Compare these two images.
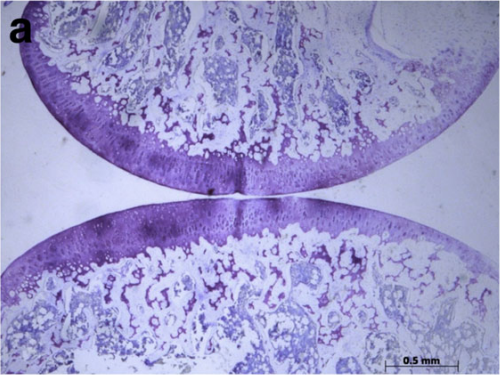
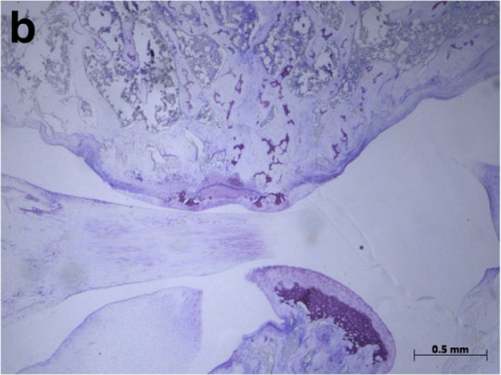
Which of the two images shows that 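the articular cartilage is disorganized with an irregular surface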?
The second image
